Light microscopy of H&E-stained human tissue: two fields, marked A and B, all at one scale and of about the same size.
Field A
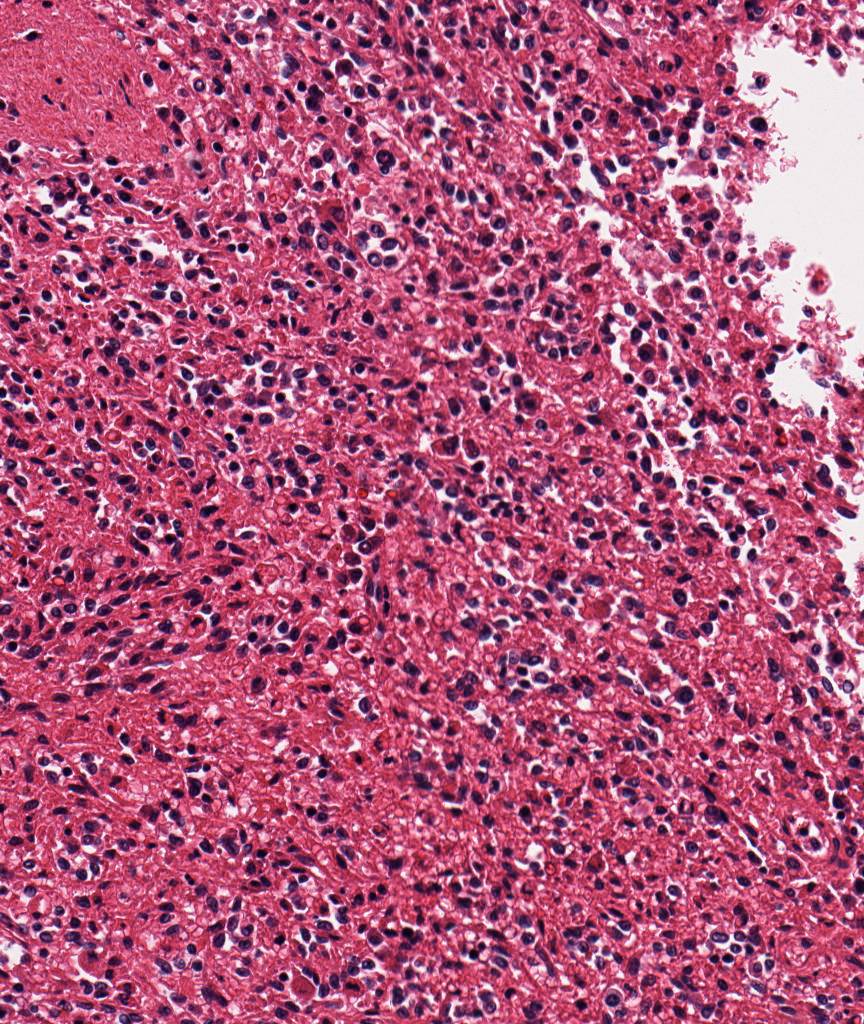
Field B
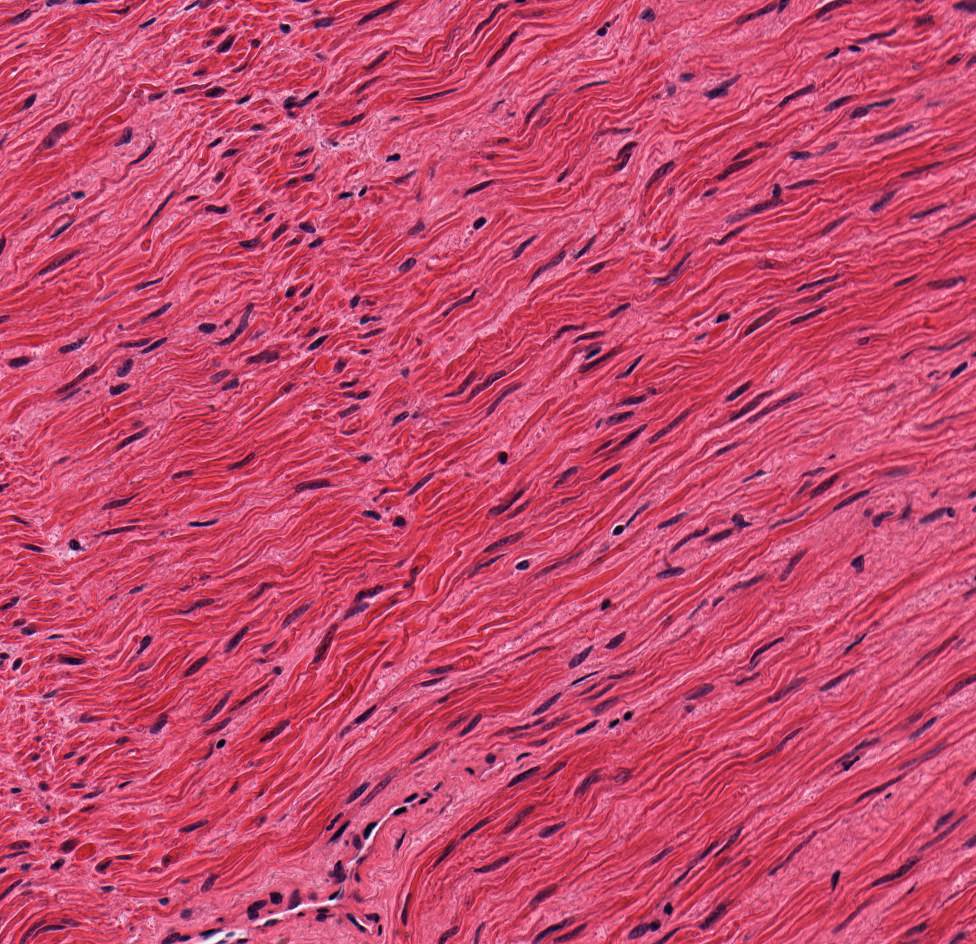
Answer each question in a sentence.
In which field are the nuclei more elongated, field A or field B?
It is field B whose nuclei are the more elongated.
